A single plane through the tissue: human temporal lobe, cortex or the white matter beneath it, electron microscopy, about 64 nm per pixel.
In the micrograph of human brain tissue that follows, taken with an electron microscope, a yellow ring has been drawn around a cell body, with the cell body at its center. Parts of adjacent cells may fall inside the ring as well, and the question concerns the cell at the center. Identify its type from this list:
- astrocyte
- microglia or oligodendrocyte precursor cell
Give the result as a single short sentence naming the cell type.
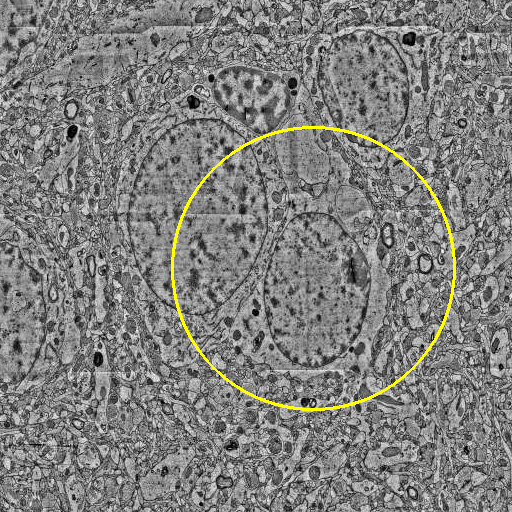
The ring is centered on an astrocyte.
